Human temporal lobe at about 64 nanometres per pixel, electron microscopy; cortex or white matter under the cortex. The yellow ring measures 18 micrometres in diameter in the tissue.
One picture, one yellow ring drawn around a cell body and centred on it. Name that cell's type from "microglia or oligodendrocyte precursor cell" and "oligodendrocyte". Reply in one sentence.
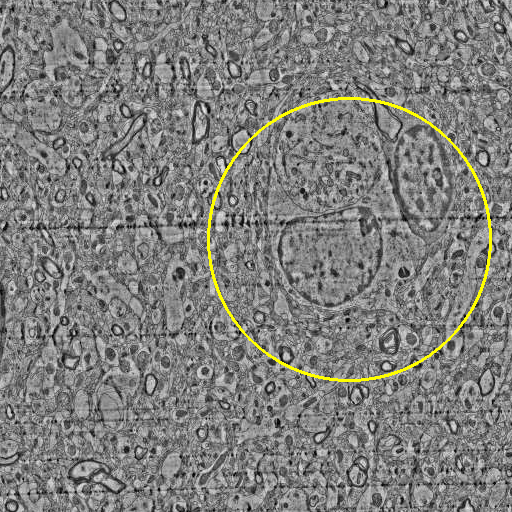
Centred in the ring is a microglial cell or oligodendrocyte precursor cell.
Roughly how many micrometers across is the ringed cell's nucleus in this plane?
About 7 micrometres across in this plane, for the nucleus.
